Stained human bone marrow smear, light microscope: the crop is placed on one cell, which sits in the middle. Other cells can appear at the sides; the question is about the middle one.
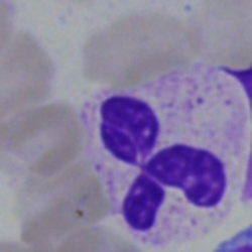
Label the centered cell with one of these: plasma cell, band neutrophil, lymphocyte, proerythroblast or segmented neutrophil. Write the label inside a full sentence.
The cell found in the middle of this crop is a segmented neutrophil.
